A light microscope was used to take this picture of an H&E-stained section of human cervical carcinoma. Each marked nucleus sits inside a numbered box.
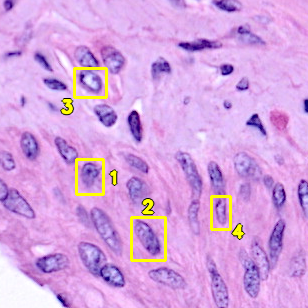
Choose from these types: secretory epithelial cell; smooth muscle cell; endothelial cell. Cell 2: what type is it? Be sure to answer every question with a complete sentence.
Belonging to a smooth muscle cell is the nucleus that carries the number 2.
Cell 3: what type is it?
Number 3 is placed on an endothelial cell here.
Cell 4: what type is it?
Here, the cell given the number 4 is a smooth muscle cell.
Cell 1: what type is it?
Regarding cell 1, this one is a smooth muscle cell.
